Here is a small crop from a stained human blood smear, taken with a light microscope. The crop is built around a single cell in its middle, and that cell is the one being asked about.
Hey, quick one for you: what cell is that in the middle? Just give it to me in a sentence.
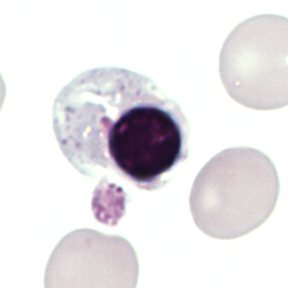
The central cell, amid any neighbouring cells, is a normoblast.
